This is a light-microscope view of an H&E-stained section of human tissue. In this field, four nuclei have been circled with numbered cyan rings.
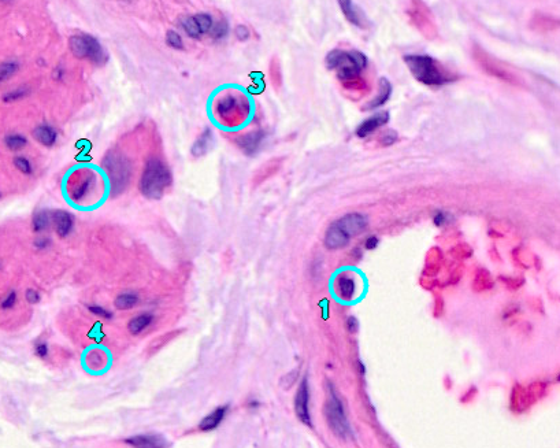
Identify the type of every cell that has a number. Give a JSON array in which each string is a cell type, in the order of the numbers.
["endothelial cell", "endothelial cell", "endothelial cell", "smooth muscle cell"]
